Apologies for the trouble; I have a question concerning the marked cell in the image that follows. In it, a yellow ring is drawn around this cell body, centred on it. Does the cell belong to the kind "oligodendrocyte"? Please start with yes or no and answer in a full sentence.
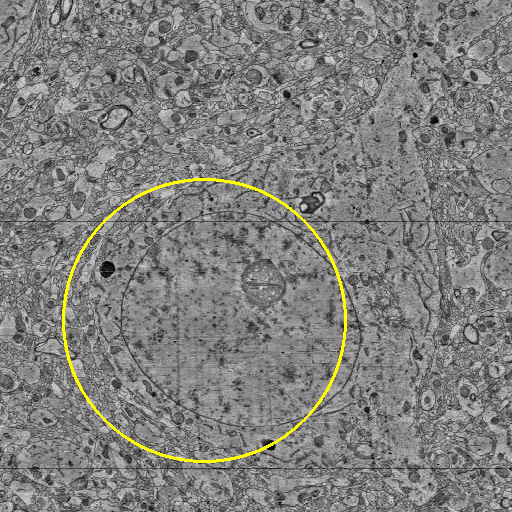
No, the ringed cell in the picture is of a different kind.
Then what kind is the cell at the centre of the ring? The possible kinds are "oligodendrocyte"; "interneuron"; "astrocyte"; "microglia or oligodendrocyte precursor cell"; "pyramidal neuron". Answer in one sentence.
The correct answer is that the cell is a pyramidal neuron.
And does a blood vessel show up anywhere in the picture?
No, none is visible.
